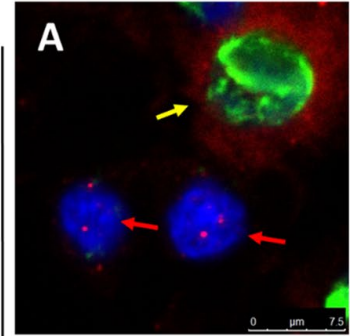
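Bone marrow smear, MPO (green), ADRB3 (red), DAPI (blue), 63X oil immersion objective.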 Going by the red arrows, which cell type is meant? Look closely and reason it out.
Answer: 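Lymphocytes. The marked cells are small with round blue nuclei. Little cytoplasm surrounds the marked nuclei.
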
